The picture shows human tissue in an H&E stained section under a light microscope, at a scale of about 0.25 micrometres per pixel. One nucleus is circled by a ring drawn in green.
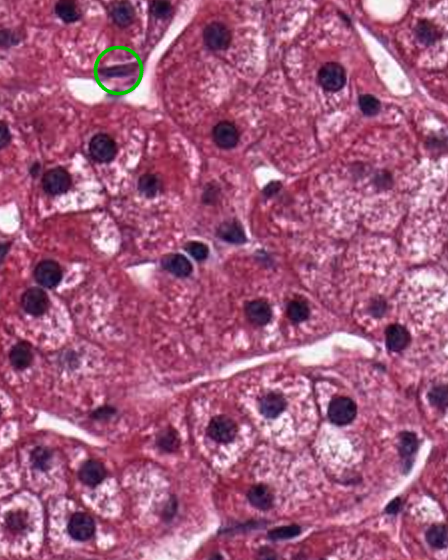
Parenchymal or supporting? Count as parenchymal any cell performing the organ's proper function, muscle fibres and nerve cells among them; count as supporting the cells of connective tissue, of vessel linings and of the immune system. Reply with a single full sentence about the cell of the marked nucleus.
The marked nucleus is designated as the nucleus of a supporting cell.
